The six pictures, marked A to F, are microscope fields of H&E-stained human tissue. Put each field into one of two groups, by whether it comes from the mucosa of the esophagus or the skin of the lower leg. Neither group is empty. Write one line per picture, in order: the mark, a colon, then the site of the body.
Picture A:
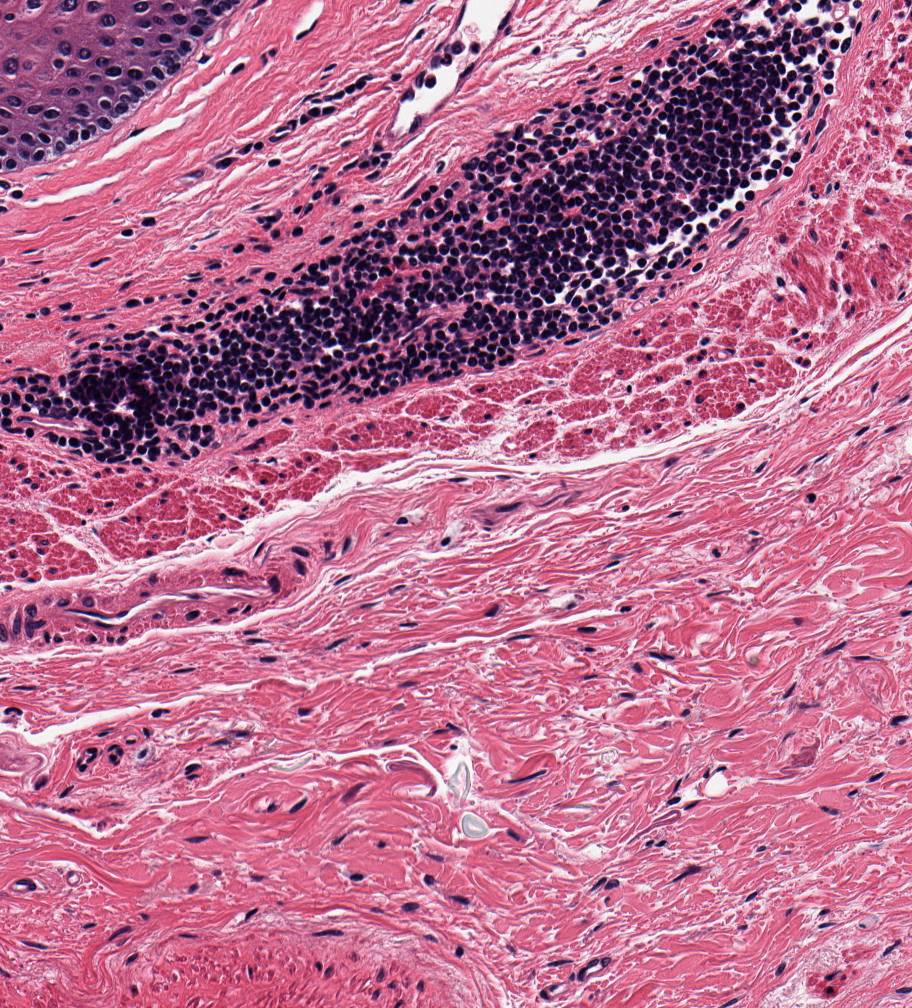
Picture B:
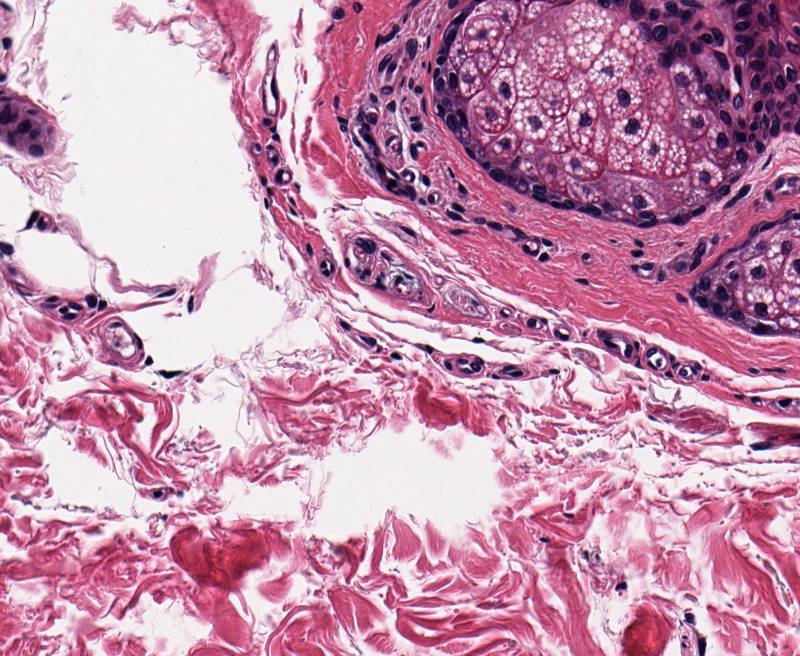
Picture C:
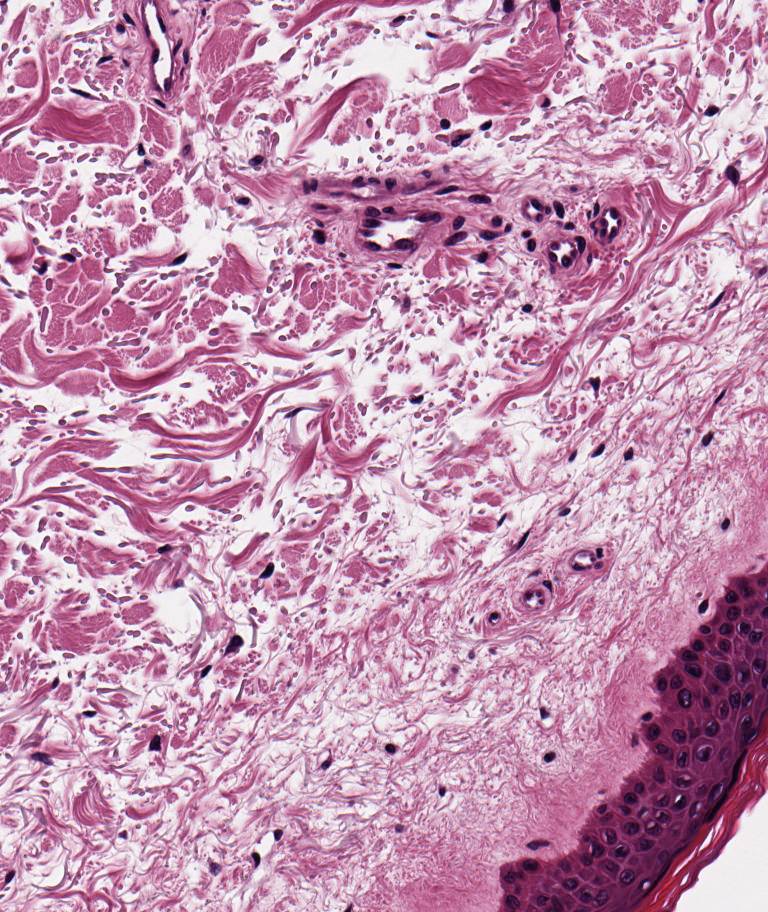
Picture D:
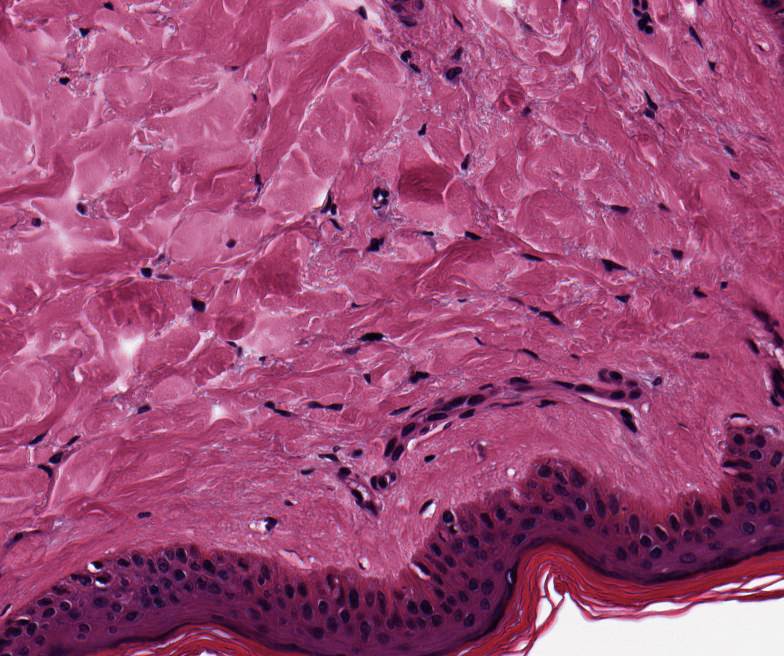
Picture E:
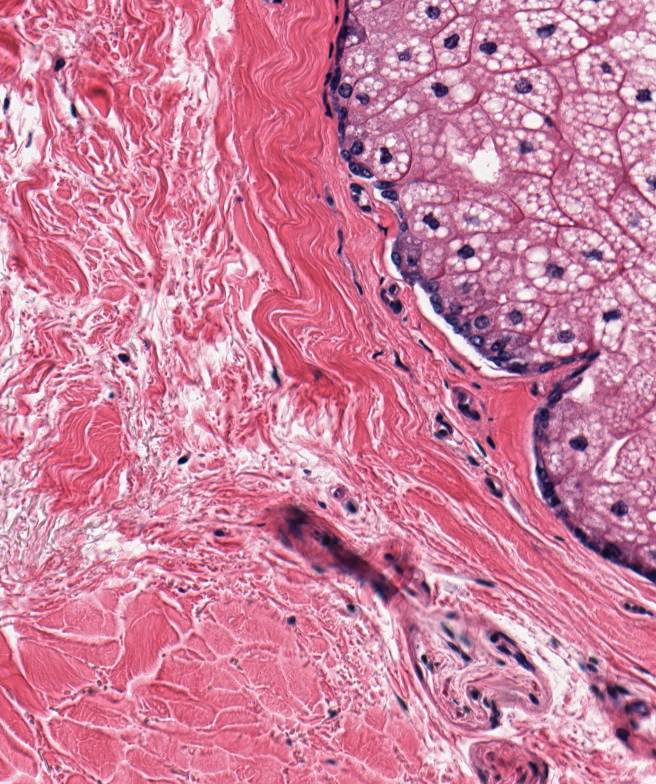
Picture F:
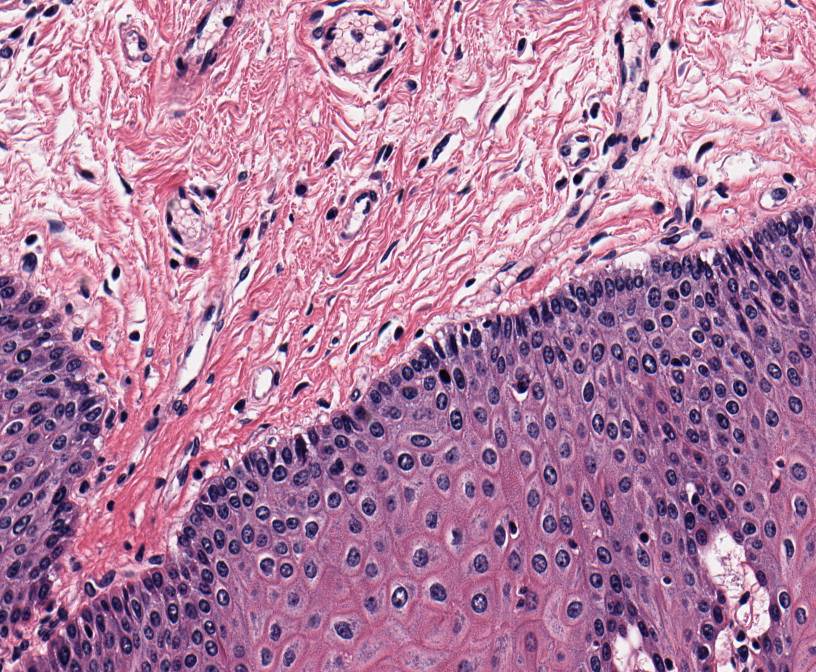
A: mucosa of the esophagus
B: skin of the lower leg
C: skin of the lower leg
D: skin of the lower leg
E: skin of the lower leg
F: mucosa of the esophagus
